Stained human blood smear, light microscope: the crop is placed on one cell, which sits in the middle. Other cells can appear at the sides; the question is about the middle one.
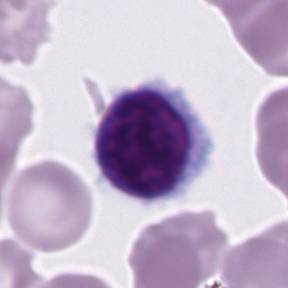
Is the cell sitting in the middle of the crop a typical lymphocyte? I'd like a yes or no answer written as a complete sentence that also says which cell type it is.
No, in this crop the central cell is a hairy cell instead of a typical lymphocyte.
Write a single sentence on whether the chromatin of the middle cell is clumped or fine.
Thanks for asking; the chromatin is coarsely clumped.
